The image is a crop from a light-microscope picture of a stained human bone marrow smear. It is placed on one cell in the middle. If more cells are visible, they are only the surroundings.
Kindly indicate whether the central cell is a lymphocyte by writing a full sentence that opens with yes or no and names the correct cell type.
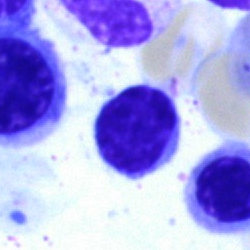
Yes, the middle cell of the field is a lymphocyte.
